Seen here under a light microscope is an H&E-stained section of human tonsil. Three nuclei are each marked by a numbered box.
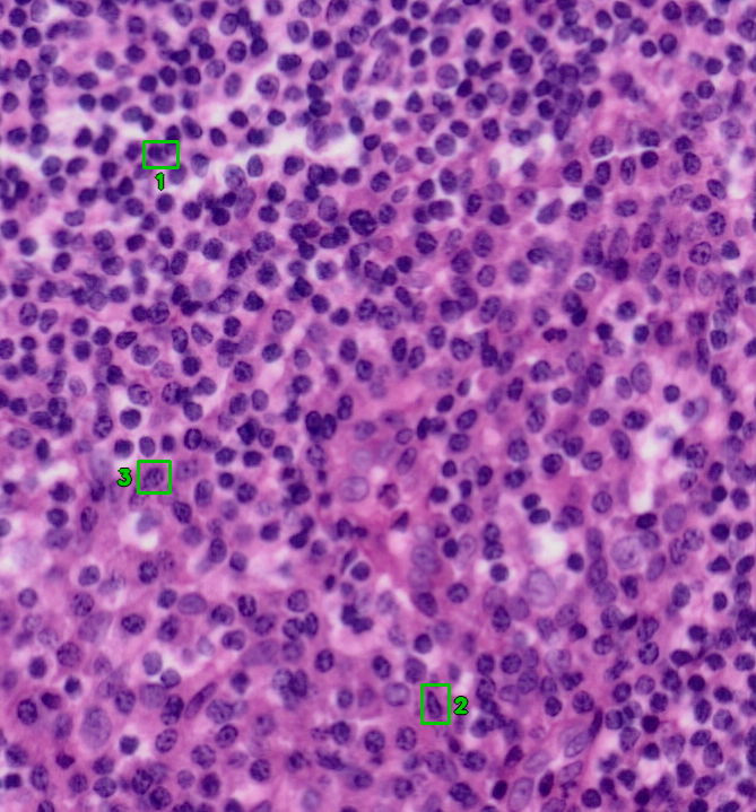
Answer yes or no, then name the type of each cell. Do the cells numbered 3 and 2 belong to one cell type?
Yes, just like cell 3, cell 2 is one of the plasma cells.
